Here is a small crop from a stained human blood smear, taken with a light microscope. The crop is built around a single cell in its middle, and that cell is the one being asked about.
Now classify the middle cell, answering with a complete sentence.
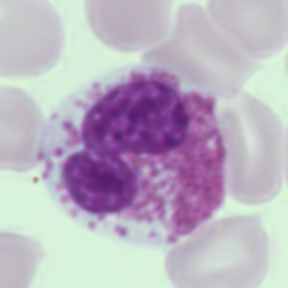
The cell at the centre of the field is an eosinophil.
